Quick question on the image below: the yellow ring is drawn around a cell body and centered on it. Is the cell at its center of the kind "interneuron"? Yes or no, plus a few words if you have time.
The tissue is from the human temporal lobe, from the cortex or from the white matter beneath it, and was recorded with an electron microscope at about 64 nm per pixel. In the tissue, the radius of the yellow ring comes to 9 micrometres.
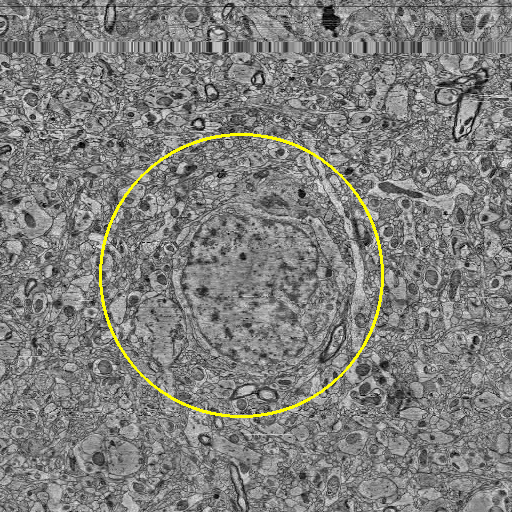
Yes, the cell at the center is of that kind.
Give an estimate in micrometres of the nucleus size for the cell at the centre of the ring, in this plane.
The nucleus is about 10 micrometres across in this plane.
